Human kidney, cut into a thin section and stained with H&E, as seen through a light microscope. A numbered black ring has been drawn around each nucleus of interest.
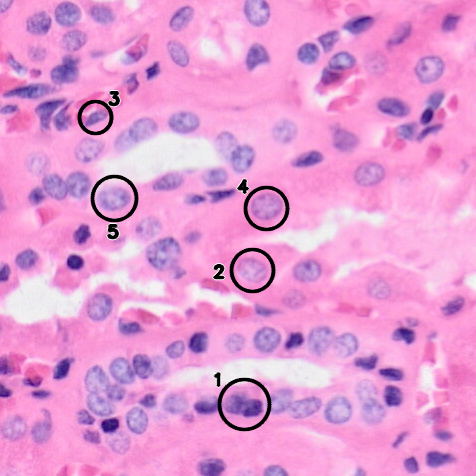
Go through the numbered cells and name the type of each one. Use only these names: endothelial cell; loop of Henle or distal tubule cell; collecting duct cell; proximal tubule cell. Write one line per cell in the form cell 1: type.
cell 1: collecting duct cell
cell 2: proximal tubule cell
cell 3: endothelial cell
cell 4: proximal tubule cell
cell 5: loop of Henle or distal tubule cell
